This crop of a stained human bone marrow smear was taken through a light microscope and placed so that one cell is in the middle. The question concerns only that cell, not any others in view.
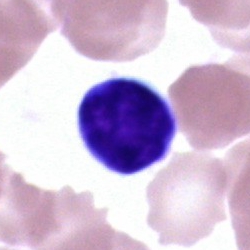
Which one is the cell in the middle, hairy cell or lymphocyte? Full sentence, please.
The central cell, amid any neighbouring cells, is a lymphocyte.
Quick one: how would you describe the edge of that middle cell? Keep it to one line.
The border of this cell runs smooth and free of any projections.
